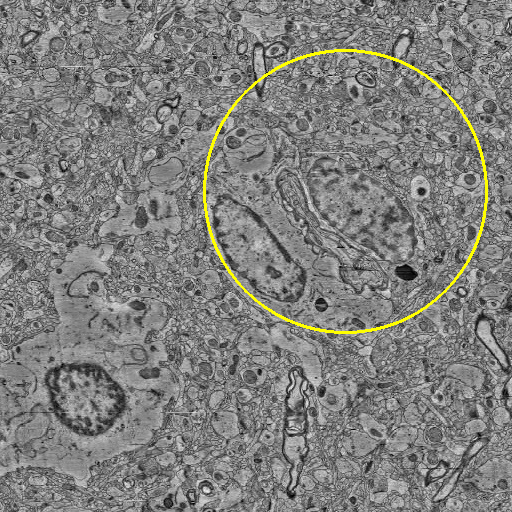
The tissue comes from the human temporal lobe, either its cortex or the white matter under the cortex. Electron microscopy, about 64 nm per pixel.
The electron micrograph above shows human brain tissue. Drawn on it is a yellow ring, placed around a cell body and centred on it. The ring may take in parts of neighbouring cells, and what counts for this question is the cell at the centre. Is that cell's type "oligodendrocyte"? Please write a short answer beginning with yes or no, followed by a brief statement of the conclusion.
Yes, its type is the one named.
